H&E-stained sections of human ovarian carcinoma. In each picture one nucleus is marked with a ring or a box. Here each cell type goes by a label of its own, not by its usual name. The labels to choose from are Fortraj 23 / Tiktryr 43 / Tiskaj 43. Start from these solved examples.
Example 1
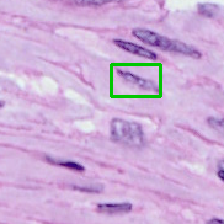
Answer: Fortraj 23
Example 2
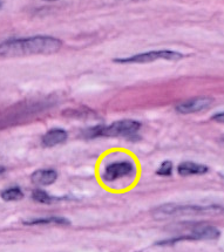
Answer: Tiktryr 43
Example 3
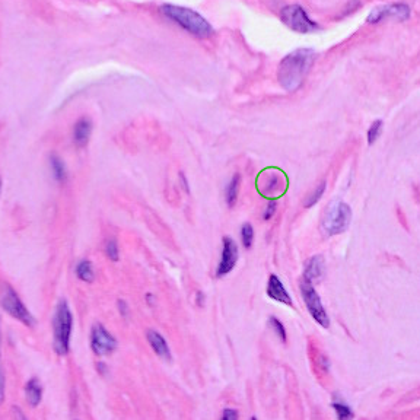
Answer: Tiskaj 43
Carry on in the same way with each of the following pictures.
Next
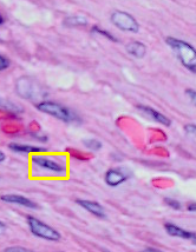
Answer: Fortraj 23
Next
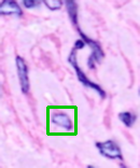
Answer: Fortraj 23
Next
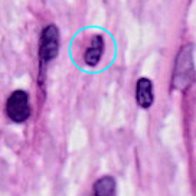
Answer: Tiktryr 43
